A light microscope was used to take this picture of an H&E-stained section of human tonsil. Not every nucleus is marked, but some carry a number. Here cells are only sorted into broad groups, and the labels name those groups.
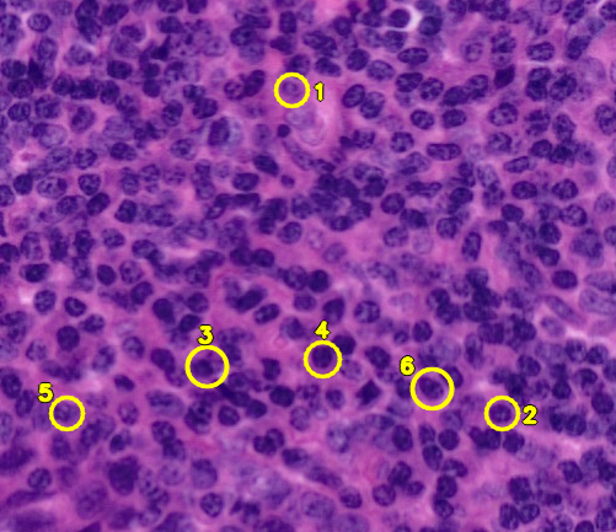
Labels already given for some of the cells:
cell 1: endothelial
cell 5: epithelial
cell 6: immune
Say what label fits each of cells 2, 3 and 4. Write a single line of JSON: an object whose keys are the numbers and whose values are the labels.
{"2": "immune", "3": "immune", "4": "immune"}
